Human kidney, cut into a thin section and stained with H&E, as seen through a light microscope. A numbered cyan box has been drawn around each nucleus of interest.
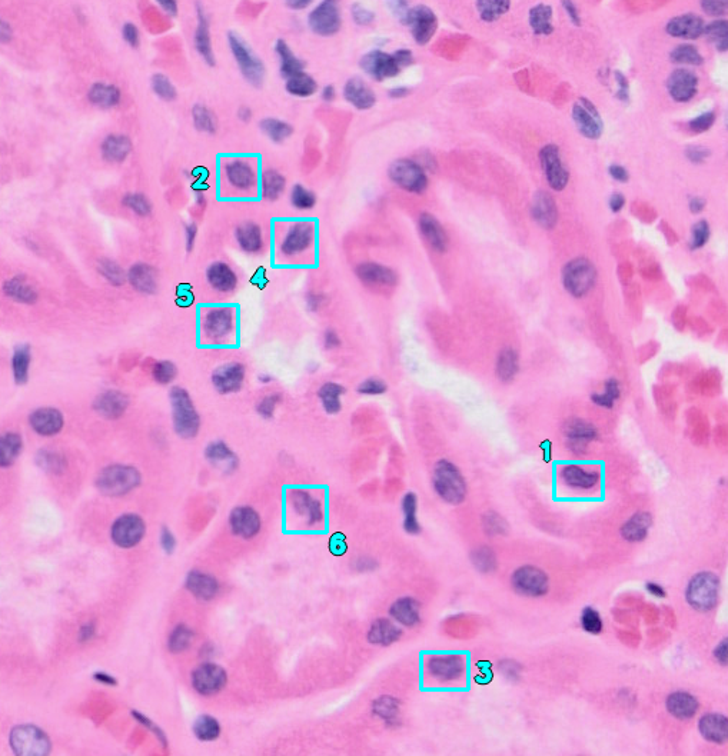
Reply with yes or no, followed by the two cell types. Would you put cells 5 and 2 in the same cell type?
Yes, the two cells, 5 and 2, are both loop of Henle or distal tubule cells.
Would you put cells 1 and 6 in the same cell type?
Yes, with respect to identity, cells 1 and 6 are both proximal tubule cells.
